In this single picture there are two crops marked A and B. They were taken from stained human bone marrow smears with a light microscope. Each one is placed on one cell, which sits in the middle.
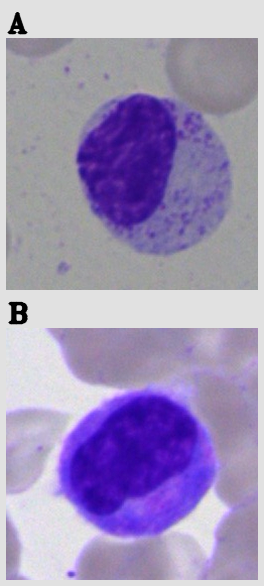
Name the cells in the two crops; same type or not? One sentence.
No, a myelocyte is the cell in crop A; a monocyte is the cell in crop B.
